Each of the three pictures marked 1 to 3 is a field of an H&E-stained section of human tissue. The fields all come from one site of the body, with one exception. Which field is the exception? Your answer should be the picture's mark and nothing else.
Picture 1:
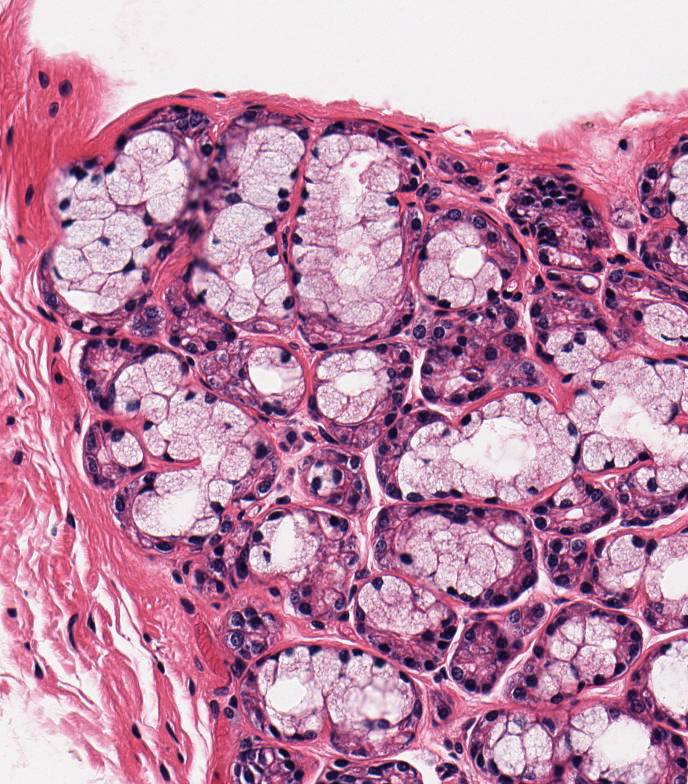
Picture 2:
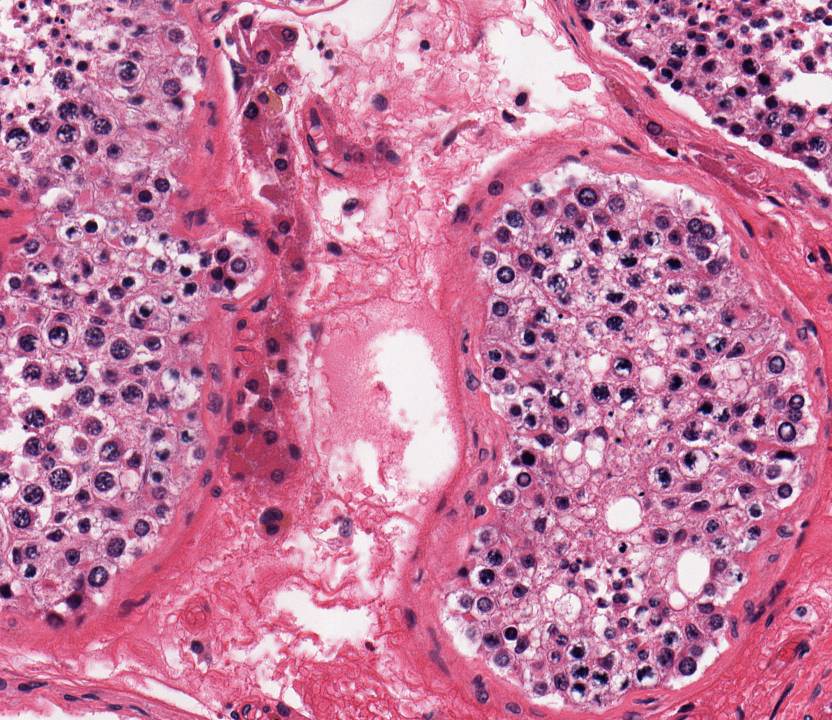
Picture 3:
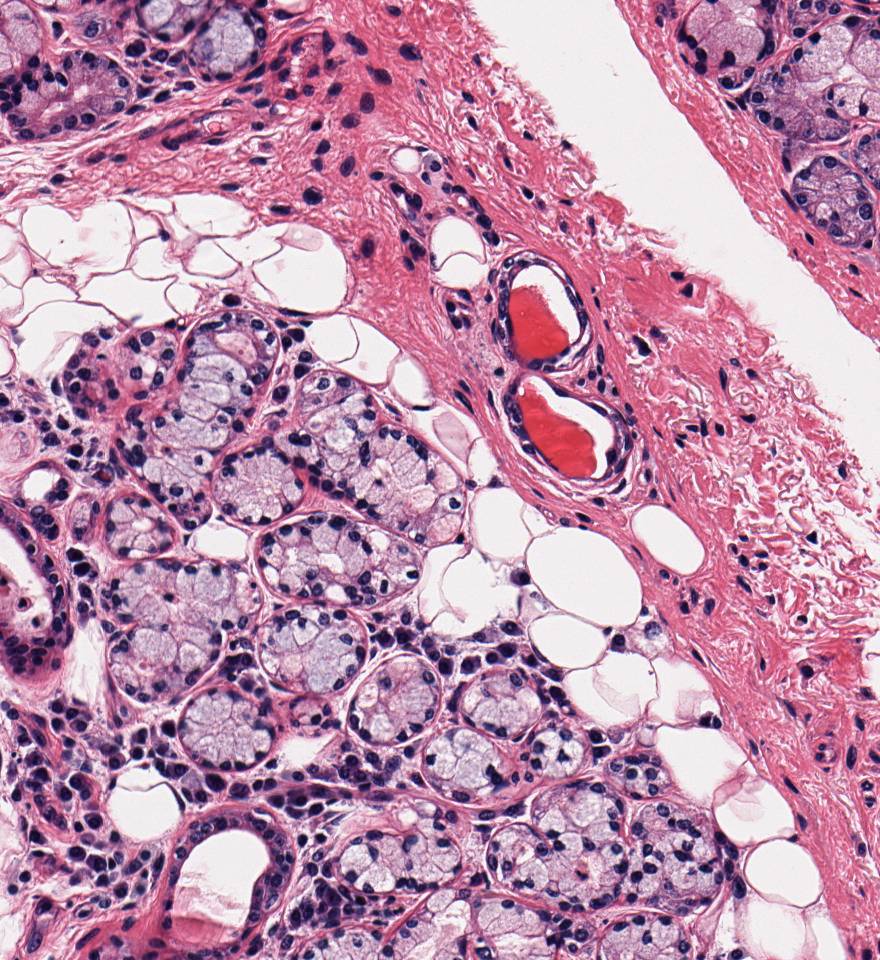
2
